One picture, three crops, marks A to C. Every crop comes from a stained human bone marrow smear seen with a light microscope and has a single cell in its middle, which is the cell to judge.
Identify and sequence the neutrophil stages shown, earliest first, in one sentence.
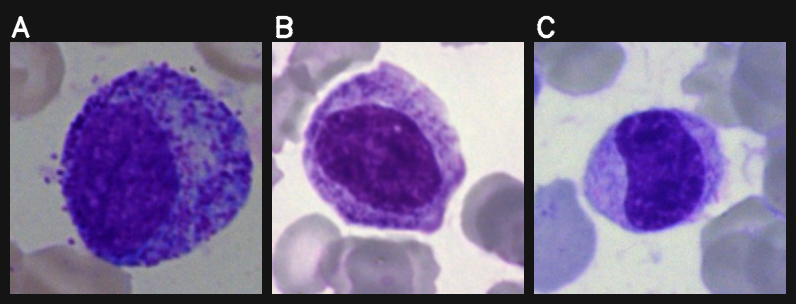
In ascending order of maturity, the cells are crop A (a promyelocyte), crop B (a myelocyte) and crop C (a metamyelocyte).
